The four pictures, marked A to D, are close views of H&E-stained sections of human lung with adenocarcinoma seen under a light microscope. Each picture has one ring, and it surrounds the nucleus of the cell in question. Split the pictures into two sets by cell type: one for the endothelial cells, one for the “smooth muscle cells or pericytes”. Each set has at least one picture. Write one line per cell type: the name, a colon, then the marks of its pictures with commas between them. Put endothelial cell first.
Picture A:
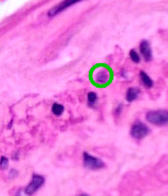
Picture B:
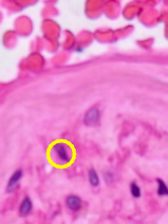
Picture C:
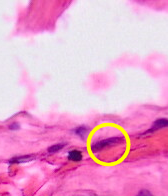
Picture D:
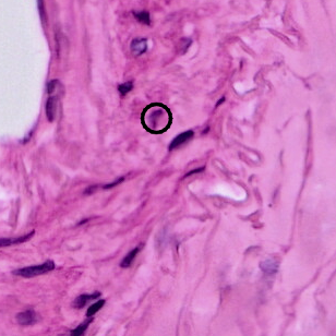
endothelial cell: C
smooth muscle cell or pericyte: A, B, D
